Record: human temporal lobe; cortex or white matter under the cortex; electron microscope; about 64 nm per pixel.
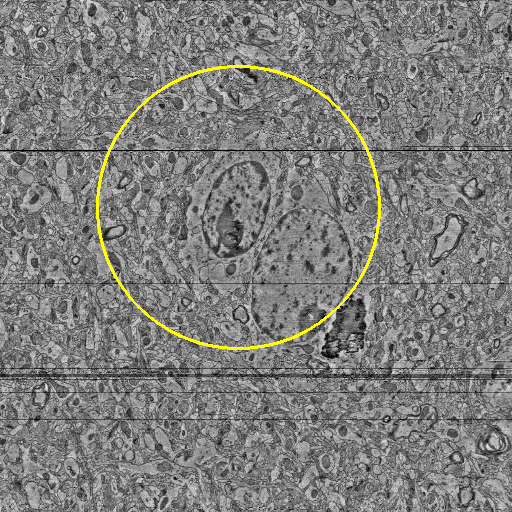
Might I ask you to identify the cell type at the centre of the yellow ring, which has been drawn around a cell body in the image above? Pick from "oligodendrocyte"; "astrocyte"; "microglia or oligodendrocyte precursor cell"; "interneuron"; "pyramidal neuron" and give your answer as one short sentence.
The centre of the ring falls on an astrocyte.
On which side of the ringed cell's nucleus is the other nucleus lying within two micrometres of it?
The other nucleus can be seen to the lower right of it.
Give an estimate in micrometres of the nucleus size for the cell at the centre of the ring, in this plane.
In this plane the nucleus is clearly longer than it is wide, at approximately 6 by 4 micrometres.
